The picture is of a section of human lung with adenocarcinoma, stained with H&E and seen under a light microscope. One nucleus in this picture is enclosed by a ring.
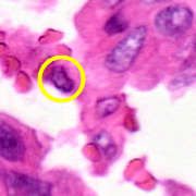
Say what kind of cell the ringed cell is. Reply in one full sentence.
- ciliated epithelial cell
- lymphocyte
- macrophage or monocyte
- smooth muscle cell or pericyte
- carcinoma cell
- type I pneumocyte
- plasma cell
Considered by cell type, the ringed cell is a macrophage or monocyte.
